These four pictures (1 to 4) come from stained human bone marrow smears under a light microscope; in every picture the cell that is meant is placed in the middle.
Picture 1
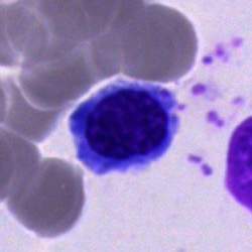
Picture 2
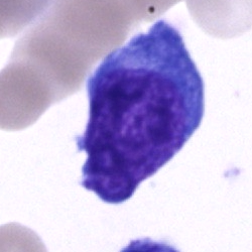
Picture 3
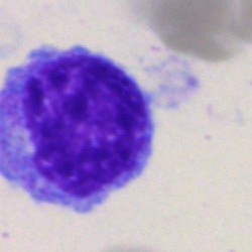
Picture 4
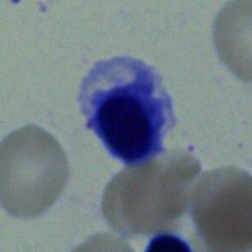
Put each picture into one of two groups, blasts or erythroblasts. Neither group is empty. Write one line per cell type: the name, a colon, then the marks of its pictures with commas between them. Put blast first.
blast: 2, 3
erythroblast: 1, 4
